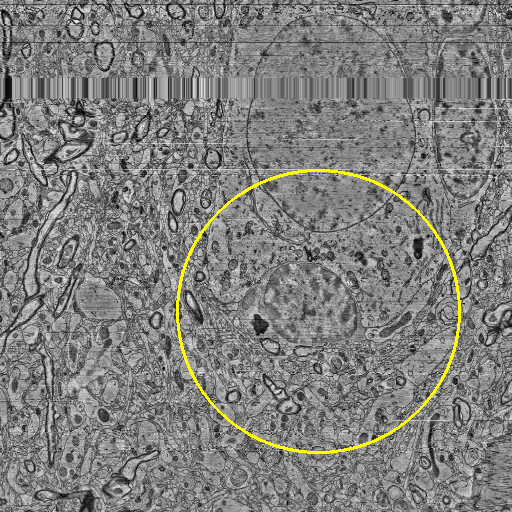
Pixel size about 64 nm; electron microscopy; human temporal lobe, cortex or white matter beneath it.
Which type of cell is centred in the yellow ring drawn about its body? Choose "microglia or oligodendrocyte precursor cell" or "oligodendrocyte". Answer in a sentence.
The yellow ring surrounds the cell body of an oligodendrocyte.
